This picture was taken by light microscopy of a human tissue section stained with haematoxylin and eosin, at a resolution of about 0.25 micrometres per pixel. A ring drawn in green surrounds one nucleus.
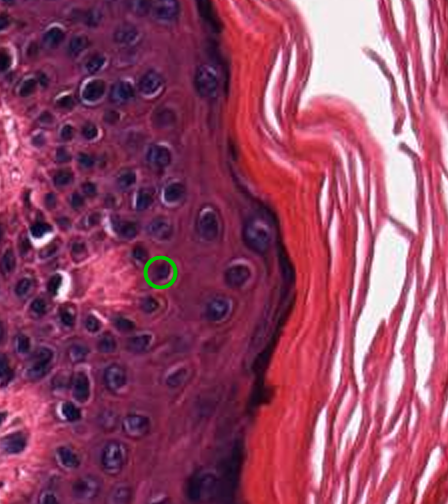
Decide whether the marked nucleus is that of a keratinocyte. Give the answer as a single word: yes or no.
yes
